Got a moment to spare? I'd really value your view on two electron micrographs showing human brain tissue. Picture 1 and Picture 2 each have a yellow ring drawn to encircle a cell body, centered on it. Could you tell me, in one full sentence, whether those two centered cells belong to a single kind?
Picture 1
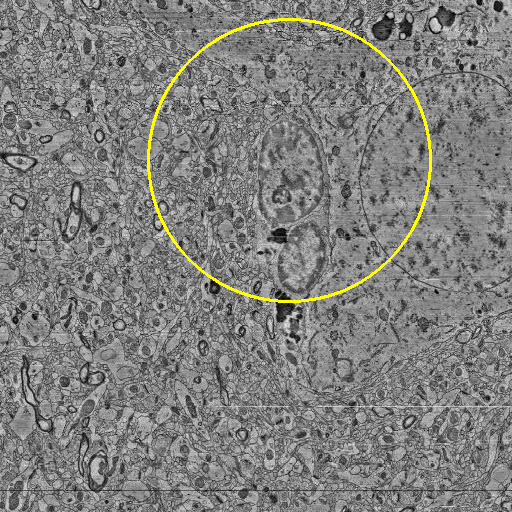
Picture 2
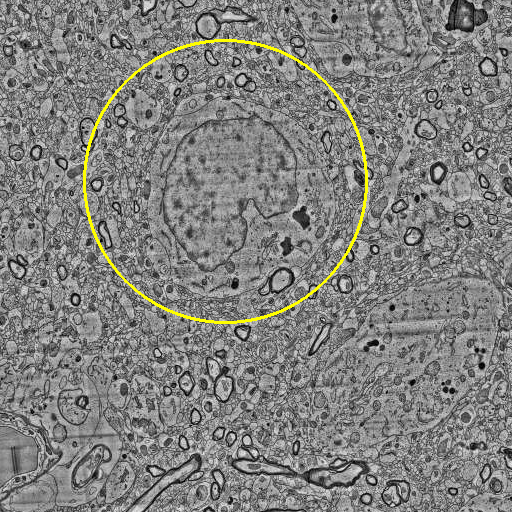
No, the two centered cells in Picture 1 and Picture 2 are of two kinds.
